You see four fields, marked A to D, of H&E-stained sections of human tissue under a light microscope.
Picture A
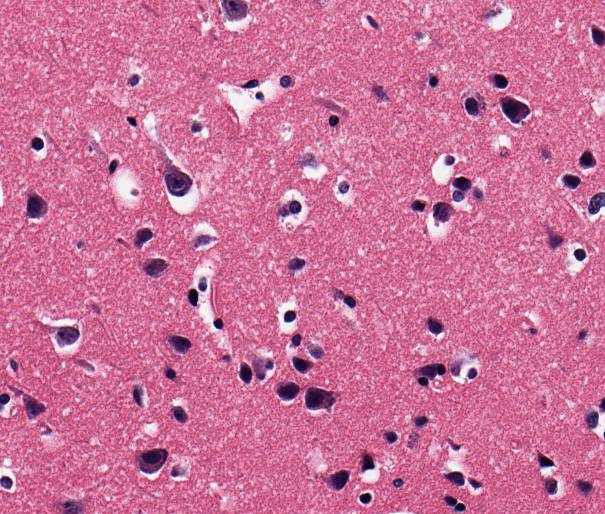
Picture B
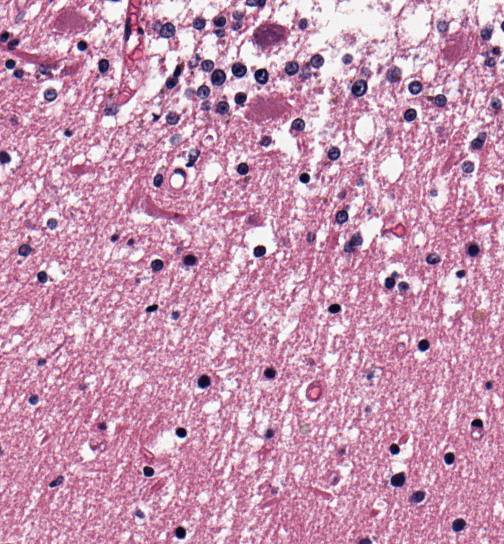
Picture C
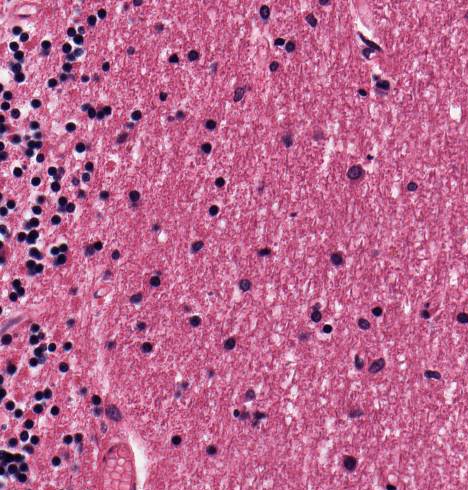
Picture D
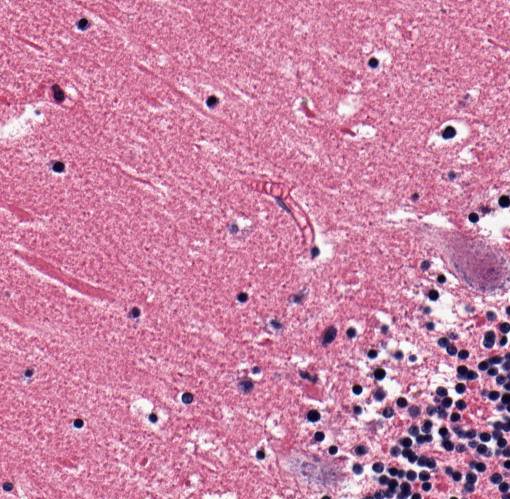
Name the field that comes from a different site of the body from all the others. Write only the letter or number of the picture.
A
